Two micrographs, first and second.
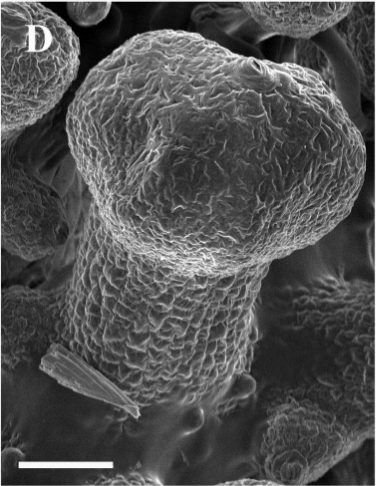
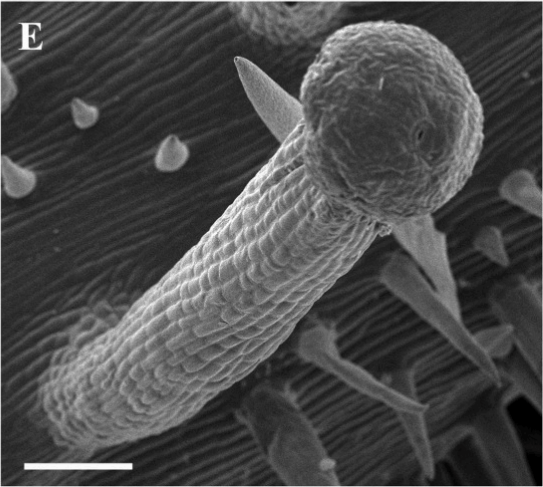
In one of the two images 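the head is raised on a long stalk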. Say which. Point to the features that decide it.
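Second image: the rounded head sits on a long, slender cylindrical stalk. That points to this answer: the second image.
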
